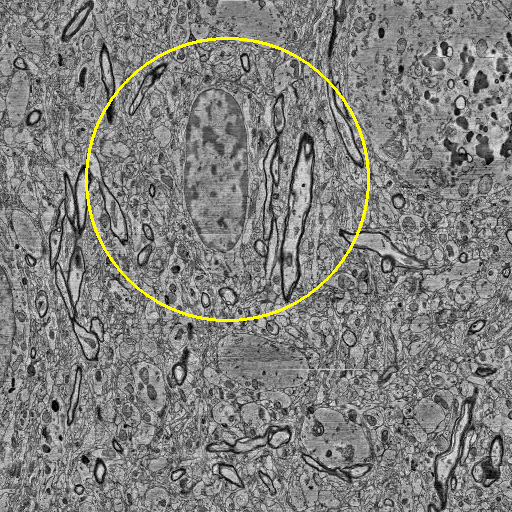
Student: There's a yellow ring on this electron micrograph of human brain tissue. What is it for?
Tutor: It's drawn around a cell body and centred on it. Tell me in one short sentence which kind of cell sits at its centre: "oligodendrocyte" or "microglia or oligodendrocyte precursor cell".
The cell at the centre of the ring is a microglial cell or oligodendrocyte precursor cell.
